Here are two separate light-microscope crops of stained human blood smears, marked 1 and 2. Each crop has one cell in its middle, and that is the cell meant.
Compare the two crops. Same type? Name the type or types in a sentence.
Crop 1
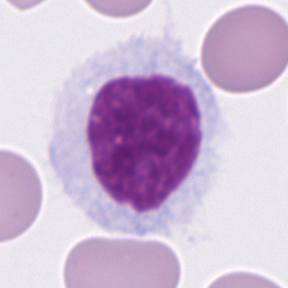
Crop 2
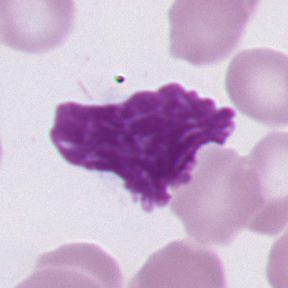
No, it is in crop 1 that a hairy cell is shown, and in crop 2 that a smudge cell is shown.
